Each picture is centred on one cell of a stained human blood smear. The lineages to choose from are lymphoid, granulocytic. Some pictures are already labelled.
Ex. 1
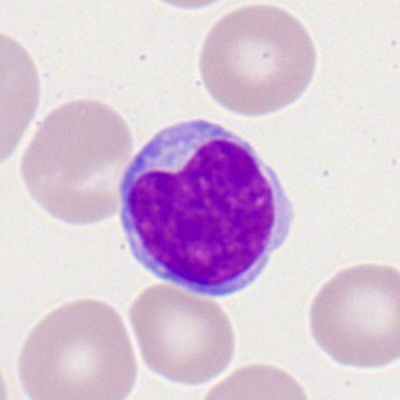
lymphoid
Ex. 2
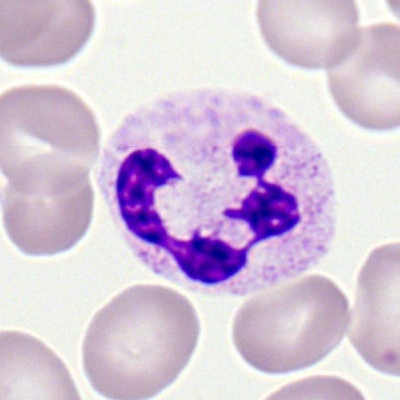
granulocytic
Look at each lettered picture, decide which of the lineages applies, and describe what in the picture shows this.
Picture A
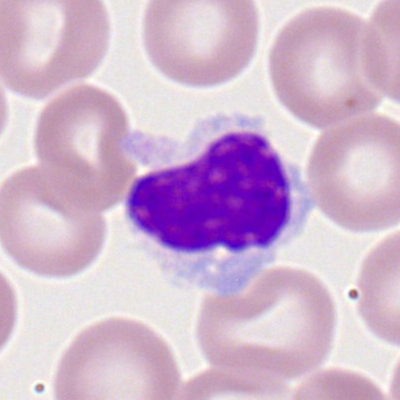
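lymphoid. Reason: The nucleus fills most of the cell.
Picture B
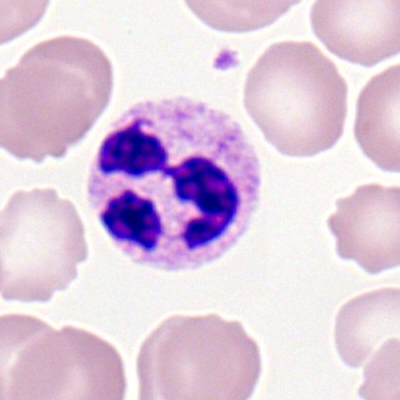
granulocytic. Reason: The cytoplasm is abundant and pale pink-lilac.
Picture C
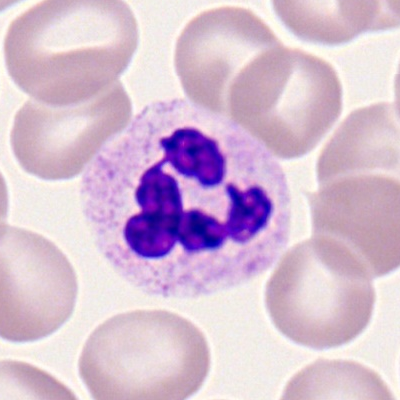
granulocytic. Reason: The nucleus is divided into four separate lobes.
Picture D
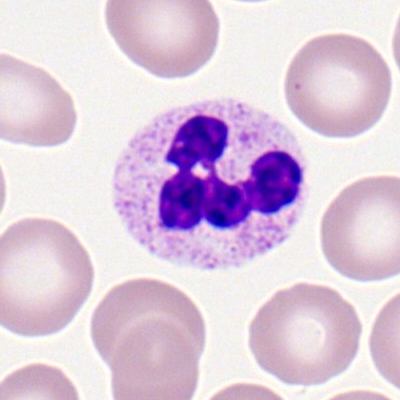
granulocytic. Reason: The cytoplasm is plentiful and pale pinkish-lilac.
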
